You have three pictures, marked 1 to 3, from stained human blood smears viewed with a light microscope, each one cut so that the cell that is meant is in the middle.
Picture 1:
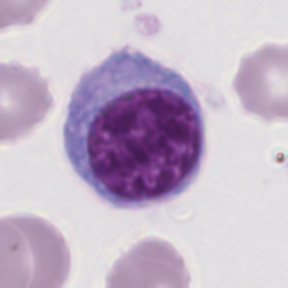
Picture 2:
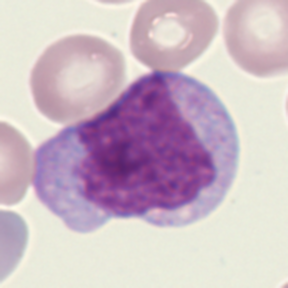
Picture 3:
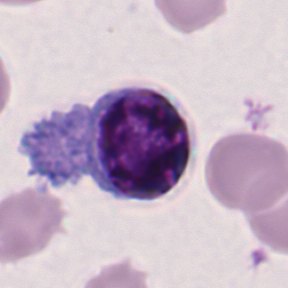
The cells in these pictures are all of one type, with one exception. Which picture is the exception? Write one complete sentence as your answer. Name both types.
The different one is picture 2; it shows an atypical promyelocyte, whereas all the others show plasma cells.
